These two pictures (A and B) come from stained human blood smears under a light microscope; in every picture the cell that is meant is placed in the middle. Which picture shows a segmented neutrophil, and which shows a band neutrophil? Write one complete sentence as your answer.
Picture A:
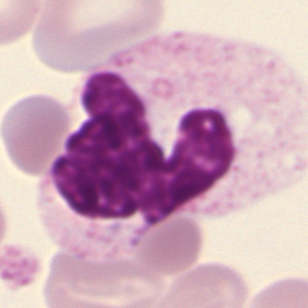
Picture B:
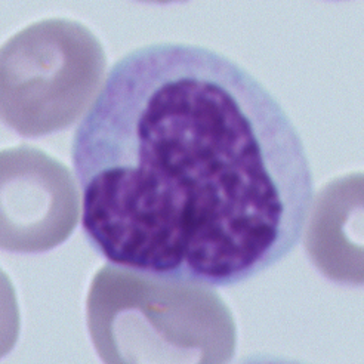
It is picture A that shows a segmented neutrophil, and picture B that shows a band neutrophil.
